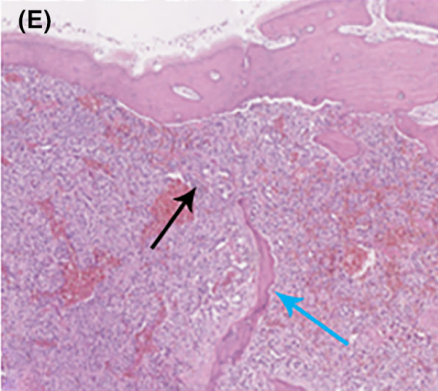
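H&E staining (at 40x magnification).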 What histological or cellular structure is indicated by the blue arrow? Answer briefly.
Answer: Destroyed bone substance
